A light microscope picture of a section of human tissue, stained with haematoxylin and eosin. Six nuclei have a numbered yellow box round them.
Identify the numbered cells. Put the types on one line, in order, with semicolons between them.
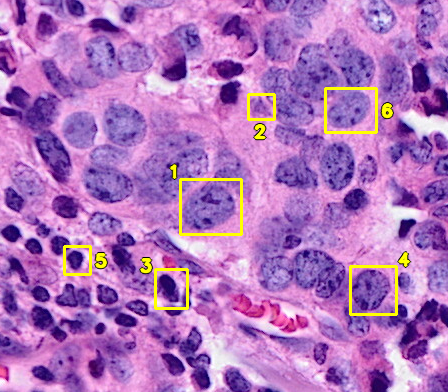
carcinoma cell; carcinoma cell; lymphocyte; carcinoma cell; lymphocyte; carcinoma cell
